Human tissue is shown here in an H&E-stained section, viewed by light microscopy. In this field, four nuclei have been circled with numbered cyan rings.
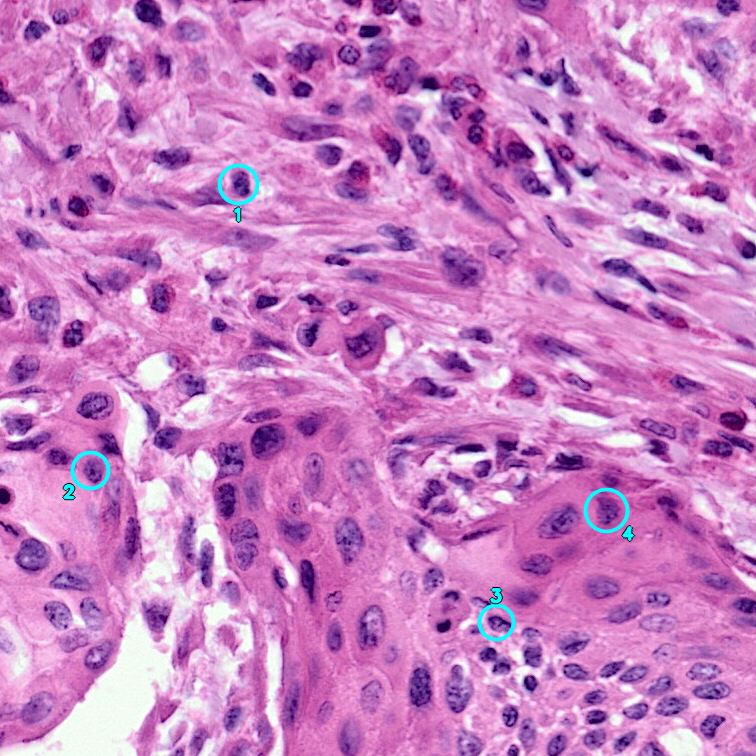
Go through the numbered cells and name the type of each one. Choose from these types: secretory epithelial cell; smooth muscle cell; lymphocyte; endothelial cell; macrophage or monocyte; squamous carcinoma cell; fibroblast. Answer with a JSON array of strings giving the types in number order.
["lymphocyte", "squamous carcinoma cell", "squamous carcinoma cell", "squamous carcinoma cell"]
